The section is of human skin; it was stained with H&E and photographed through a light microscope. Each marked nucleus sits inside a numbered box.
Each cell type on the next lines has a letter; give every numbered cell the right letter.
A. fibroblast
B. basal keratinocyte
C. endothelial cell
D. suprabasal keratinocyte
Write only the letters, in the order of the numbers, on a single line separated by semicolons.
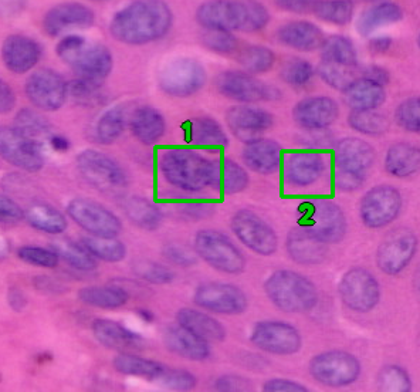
B; D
